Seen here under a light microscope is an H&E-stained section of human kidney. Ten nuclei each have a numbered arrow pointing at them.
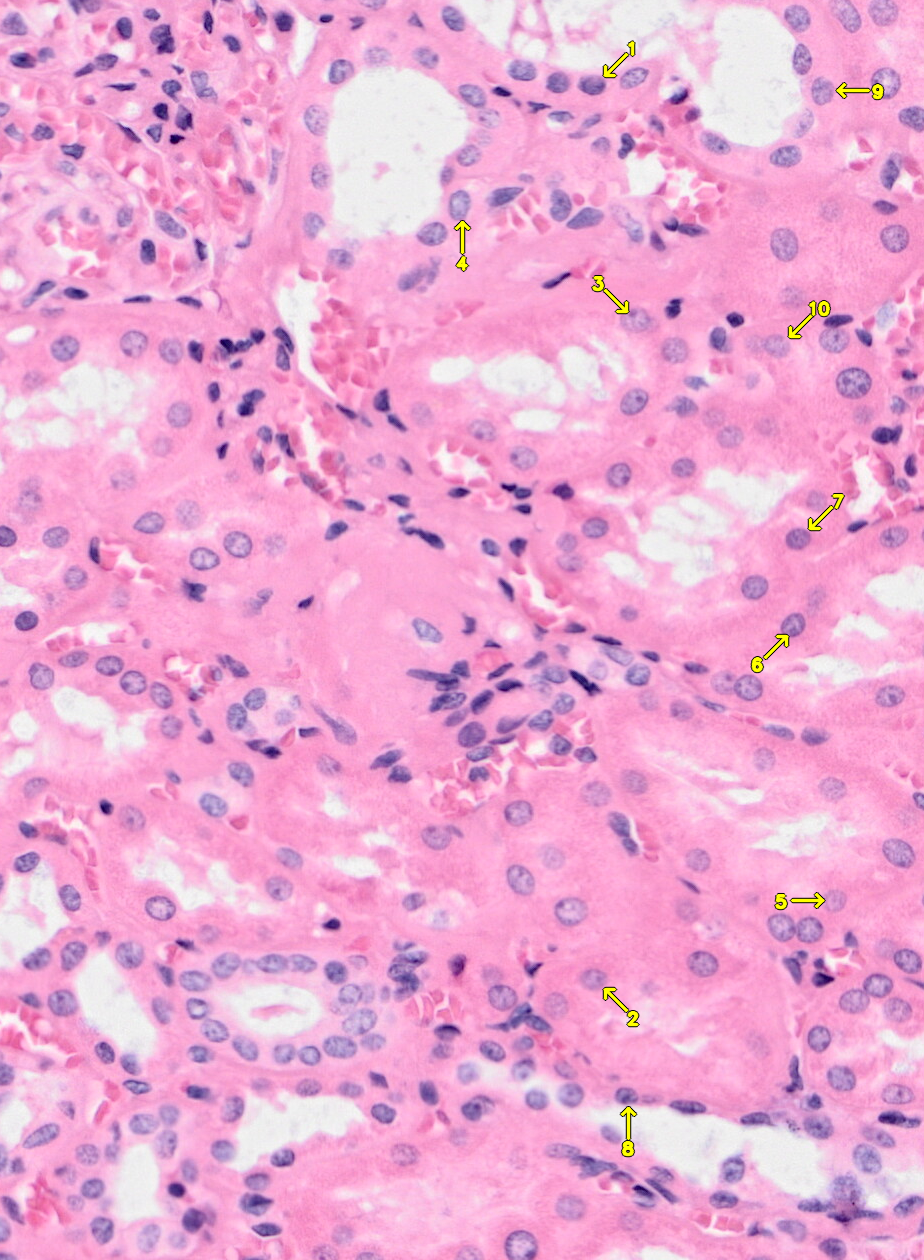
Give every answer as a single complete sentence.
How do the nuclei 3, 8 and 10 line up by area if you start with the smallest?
Smallest first, the nuclei run 8, 10, 3.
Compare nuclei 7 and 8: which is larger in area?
Nucleus 7 is the larger one, covering about 1.5 times the area of nucleus 8.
